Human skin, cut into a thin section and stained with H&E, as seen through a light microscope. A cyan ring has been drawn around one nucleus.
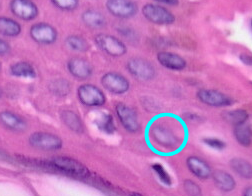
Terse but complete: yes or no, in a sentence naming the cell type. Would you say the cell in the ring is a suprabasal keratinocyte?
Yes, the identification of the cell in the ring as a suprabasal keratinocyte stands.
